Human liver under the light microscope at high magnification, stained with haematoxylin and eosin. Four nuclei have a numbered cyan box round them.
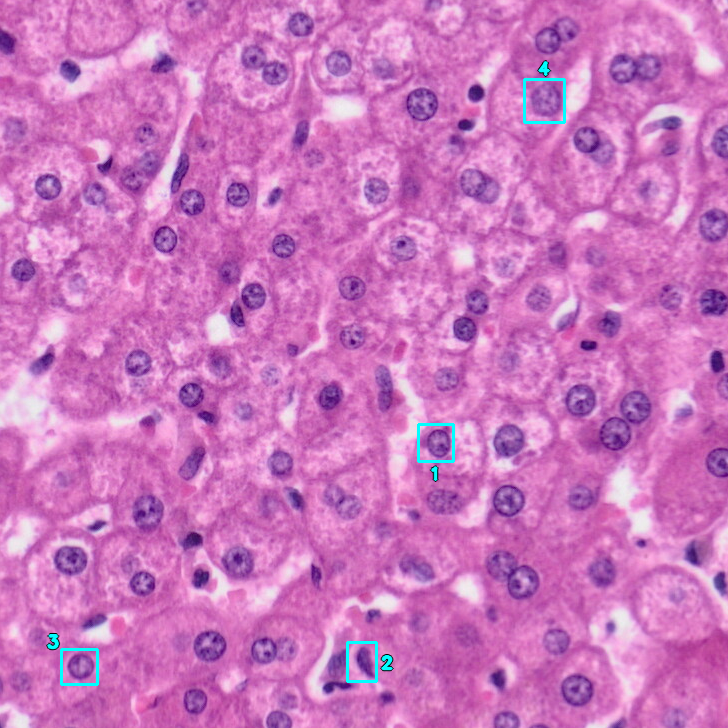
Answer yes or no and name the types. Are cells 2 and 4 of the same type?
No, cell 2 is a fibroblast or stellate cell and cell 4 is a hepatocyte.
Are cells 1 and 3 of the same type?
Yes, both of the cells numbered 1 and 3 are hepatocytes.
